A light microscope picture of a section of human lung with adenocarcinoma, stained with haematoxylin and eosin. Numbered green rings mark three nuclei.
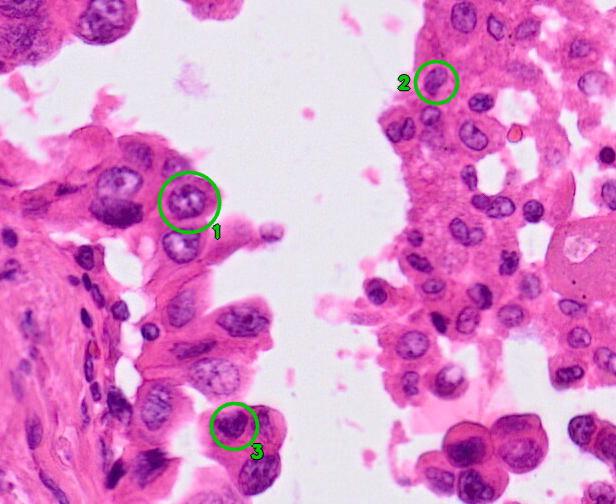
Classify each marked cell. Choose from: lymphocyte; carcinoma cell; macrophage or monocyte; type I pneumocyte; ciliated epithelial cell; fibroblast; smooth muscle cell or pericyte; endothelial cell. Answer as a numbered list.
1. carcinoma cell
2. macrophage or monocyte
3. carcinoma cell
